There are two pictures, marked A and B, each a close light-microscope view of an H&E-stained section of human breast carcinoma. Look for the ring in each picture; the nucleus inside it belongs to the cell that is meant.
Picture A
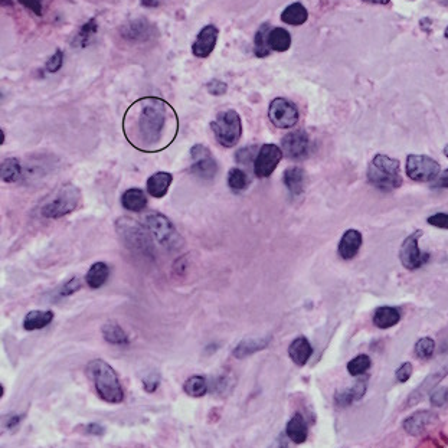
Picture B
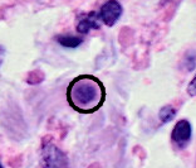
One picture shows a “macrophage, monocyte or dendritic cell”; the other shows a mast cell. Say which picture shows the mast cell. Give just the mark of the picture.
B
